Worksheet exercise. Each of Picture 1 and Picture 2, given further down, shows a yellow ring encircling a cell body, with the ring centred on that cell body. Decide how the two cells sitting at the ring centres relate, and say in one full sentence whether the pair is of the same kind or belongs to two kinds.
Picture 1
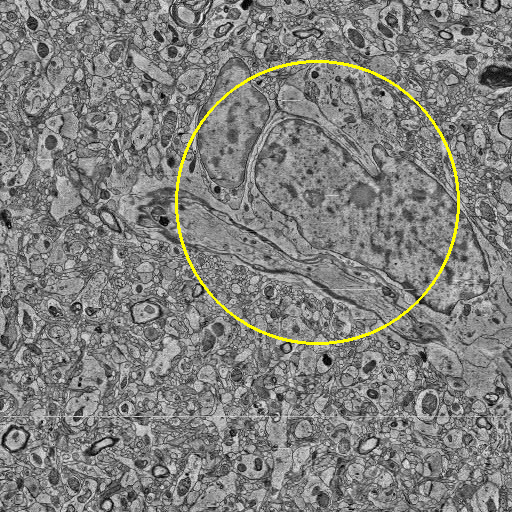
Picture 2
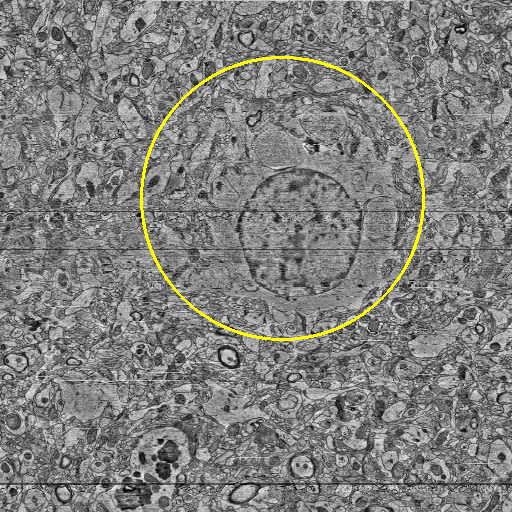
The cells at the ring centres in Picture 1 and Picture 2 belong to two kinds.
